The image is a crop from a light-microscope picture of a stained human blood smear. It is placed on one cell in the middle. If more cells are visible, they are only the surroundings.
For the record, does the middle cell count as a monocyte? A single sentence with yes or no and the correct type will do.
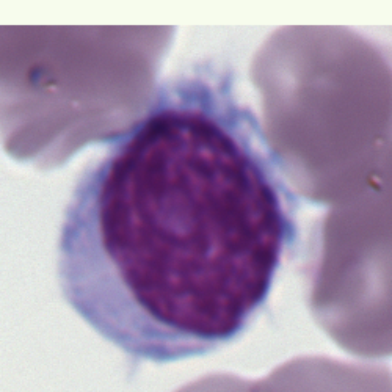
No, it is a hairy cell rather than a monocyte that the middle of the crop contains.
